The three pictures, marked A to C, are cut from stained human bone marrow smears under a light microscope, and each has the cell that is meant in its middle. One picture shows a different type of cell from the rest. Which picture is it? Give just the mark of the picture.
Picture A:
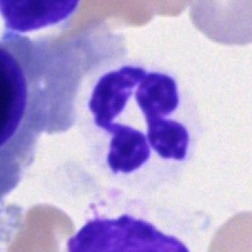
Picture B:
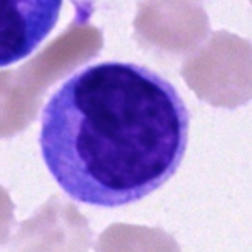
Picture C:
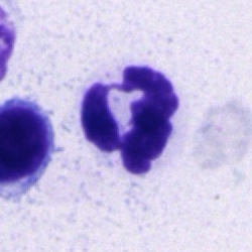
B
